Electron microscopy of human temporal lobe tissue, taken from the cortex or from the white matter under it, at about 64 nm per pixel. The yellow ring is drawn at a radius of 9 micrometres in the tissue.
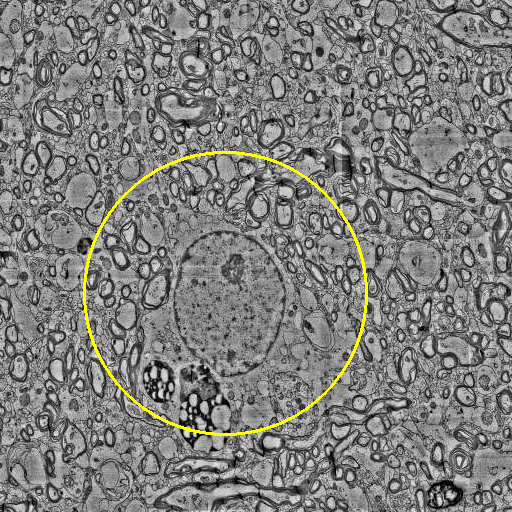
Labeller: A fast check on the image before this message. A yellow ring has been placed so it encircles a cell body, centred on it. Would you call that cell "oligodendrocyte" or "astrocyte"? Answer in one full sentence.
In this image, an astrocyte is the cell on which the yellow ring is centred.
